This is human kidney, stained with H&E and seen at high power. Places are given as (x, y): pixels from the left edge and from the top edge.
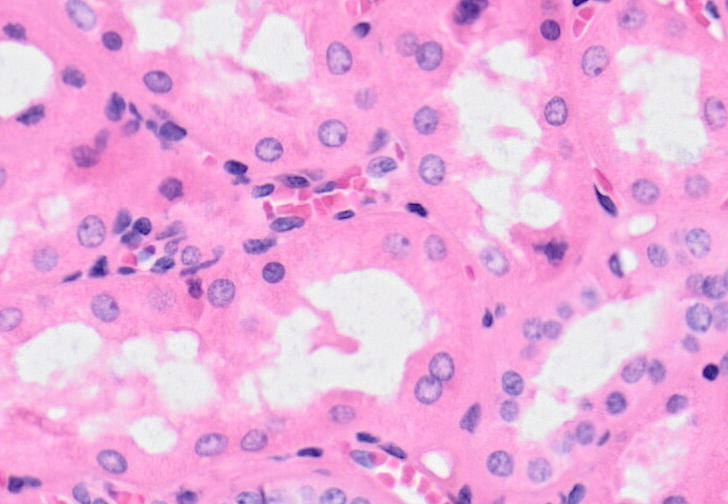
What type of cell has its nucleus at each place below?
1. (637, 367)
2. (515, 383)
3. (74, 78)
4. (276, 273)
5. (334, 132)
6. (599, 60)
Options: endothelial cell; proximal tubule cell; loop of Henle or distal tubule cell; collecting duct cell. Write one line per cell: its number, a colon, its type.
1: collecting duct cell
2: collecting duct cell
3: loop of Henle or distal tubule cell
4: proximal tubule cell
5: proximal tubule cell
6: proximal tubule cell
